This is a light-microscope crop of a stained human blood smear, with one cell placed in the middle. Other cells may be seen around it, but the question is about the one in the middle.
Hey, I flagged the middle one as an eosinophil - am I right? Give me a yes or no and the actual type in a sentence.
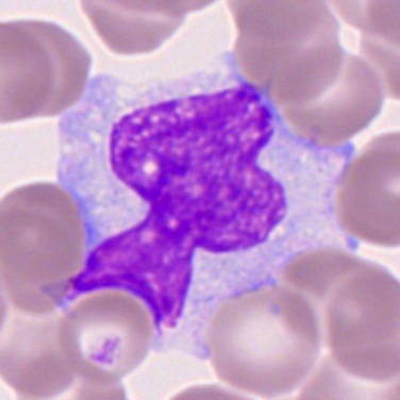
No, the identification should read a monocyte, not an eosinophil, for the central cell.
